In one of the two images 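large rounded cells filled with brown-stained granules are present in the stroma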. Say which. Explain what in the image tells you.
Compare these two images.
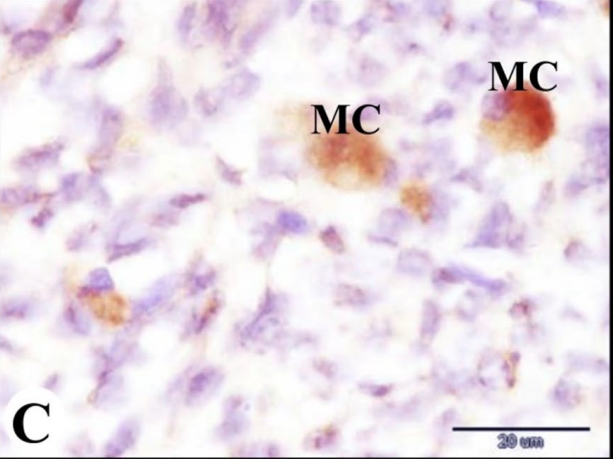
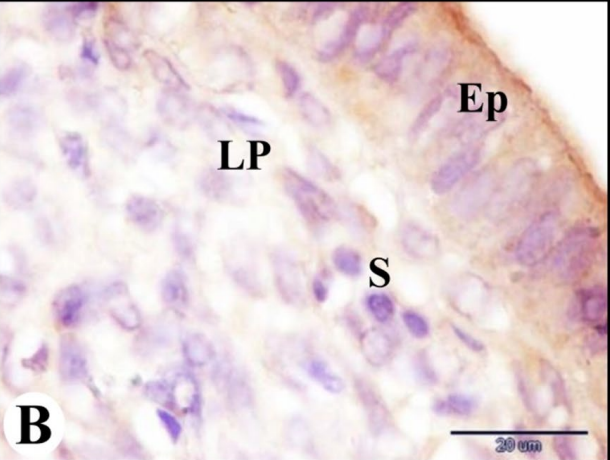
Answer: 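Second image: the stroma holds only small purple nuclei, with no densely brown-filled cells. First image: two large rounded cells are packed with brown granular material.
Answer: the first image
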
